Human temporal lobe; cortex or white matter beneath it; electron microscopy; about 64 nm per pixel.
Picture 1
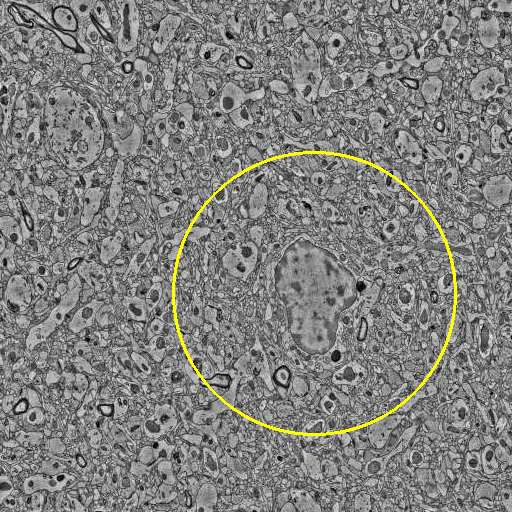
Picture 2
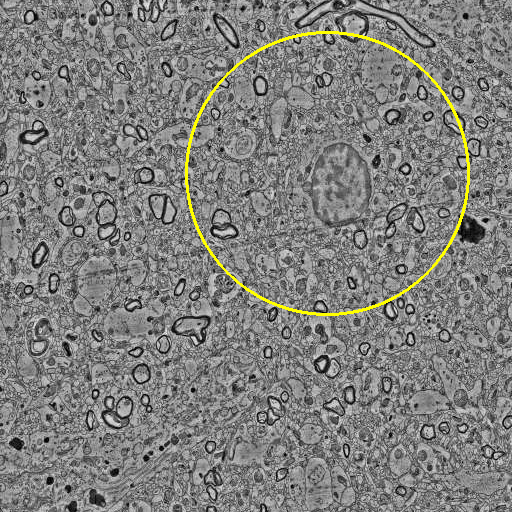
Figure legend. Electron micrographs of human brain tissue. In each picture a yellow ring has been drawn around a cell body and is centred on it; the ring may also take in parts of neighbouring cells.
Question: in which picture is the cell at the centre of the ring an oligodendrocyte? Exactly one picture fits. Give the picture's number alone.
2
